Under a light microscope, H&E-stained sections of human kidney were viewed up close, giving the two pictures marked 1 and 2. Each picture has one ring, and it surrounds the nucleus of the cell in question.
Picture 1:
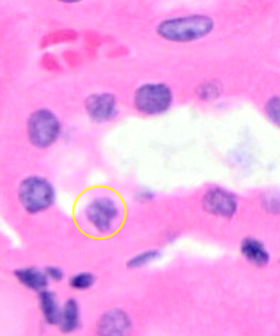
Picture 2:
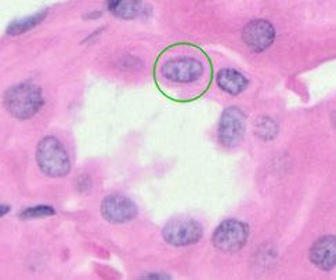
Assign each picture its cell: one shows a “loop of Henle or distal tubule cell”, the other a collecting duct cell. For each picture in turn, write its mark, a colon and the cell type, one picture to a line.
1: loop of Henle or distal tubule cell
2: collecting duct cell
